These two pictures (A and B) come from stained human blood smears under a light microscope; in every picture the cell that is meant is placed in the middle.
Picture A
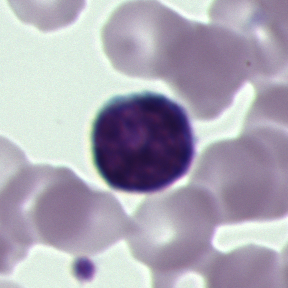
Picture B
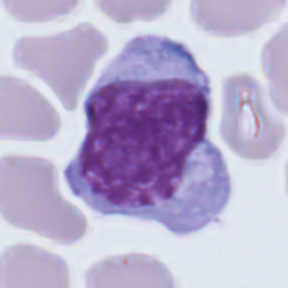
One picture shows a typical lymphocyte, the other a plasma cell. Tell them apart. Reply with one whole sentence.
Picture A shows a typical lymphocyte and picture B shows a plasma cell.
